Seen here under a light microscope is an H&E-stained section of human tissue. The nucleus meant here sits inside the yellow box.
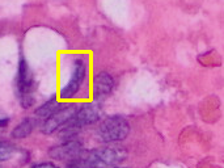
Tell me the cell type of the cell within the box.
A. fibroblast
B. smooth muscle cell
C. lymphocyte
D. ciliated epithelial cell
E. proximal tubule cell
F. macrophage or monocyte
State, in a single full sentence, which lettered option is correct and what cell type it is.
The proper choice here is D: the cell within the box is a ciliated epithelial cell.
